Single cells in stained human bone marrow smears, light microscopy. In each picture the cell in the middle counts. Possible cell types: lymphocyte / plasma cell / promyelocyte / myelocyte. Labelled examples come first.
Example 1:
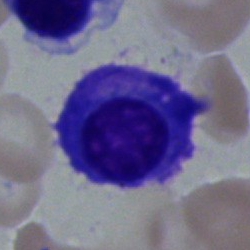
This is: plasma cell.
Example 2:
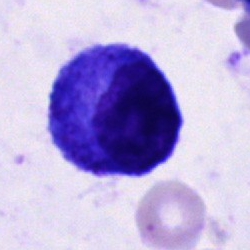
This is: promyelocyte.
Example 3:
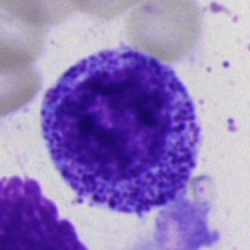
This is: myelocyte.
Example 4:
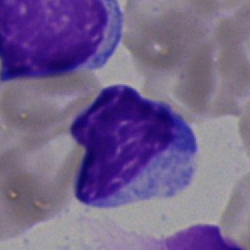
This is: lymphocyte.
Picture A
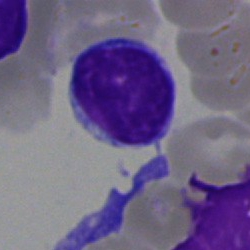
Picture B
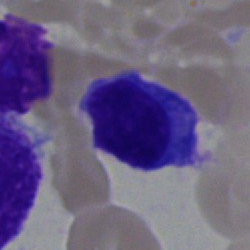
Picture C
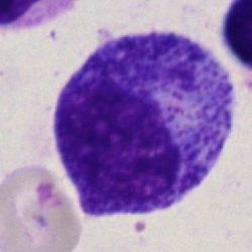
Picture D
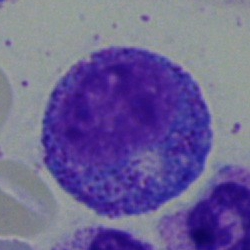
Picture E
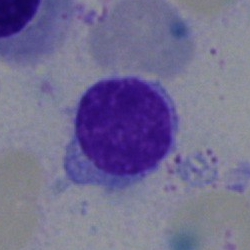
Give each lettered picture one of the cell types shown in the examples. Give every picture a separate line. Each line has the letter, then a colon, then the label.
A: lymphocyte.
B: plasma cell.
C: promyelocyte.
D: promyelocyte.
E: lymphocyte.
